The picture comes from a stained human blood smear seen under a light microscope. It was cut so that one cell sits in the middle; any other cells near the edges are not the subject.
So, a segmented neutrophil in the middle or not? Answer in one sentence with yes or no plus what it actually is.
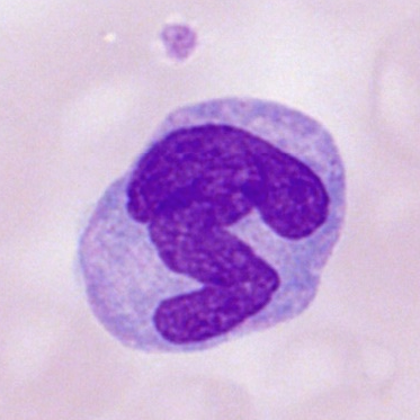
No, the central cell is identified not as a segmented neutrophil but as a monocyte.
